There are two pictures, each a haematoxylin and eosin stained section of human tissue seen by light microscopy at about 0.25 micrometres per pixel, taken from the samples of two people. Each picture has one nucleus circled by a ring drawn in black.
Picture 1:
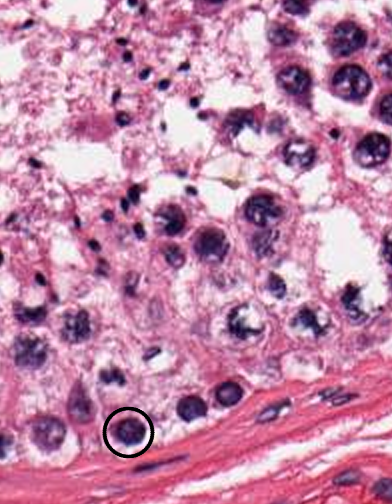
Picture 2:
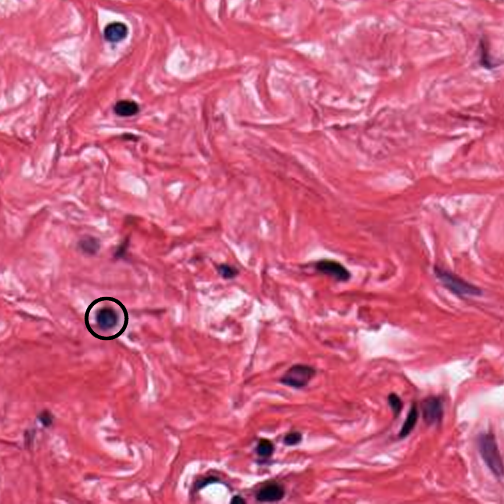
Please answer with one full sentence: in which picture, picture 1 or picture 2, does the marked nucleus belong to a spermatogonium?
While the marked nucleus in picture 1 belongs to a spermatogonium, the one in the other picture does not.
